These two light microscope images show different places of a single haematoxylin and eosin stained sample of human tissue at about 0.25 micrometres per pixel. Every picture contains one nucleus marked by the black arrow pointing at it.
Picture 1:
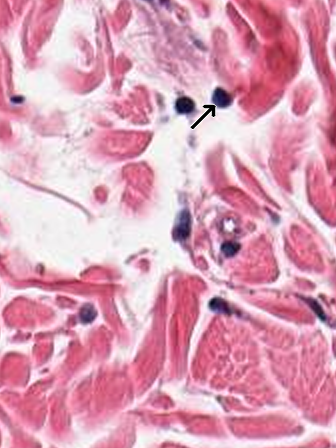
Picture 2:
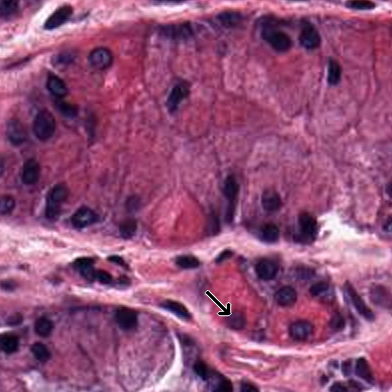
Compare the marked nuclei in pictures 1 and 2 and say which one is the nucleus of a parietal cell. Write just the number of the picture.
2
